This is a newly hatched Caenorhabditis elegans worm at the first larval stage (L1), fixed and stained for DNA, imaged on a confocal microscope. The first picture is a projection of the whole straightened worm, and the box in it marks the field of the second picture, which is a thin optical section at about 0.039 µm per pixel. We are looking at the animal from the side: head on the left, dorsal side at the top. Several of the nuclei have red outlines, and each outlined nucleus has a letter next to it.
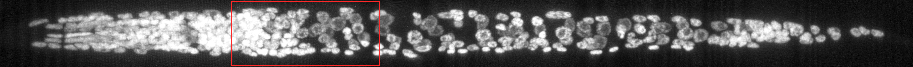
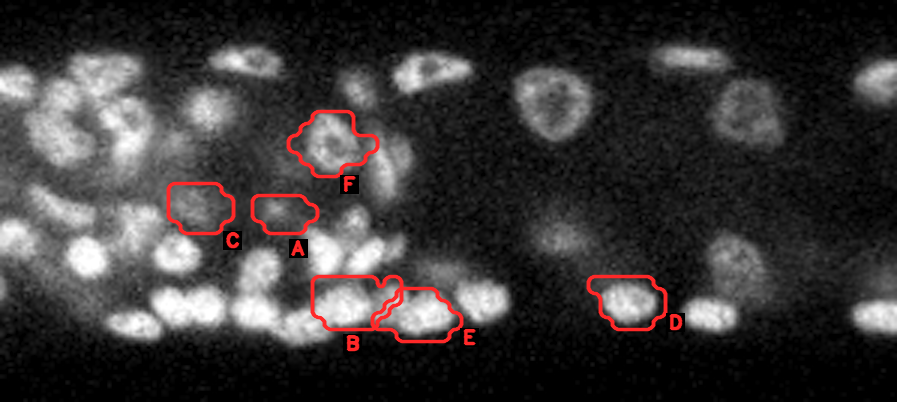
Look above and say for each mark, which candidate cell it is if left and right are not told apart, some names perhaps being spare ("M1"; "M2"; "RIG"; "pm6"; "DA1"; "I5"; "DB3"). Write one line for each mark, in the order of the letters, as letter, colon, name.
A: pm6
B: RIG
C: M2
D: DB3
E: DA1
F: M1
